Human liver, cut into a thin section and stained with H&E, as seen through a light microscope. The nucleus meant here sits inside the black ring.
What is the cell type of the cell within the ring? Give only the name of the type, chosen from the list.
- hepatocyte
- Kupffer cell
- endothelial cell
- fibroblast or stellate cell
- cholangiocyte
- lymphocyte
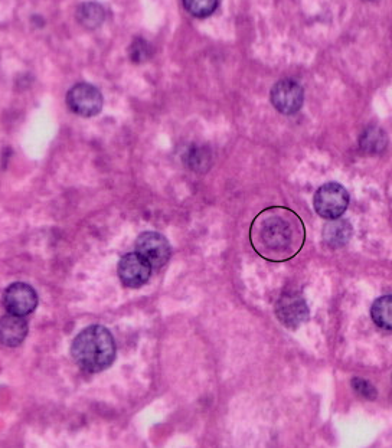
hepatocyte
